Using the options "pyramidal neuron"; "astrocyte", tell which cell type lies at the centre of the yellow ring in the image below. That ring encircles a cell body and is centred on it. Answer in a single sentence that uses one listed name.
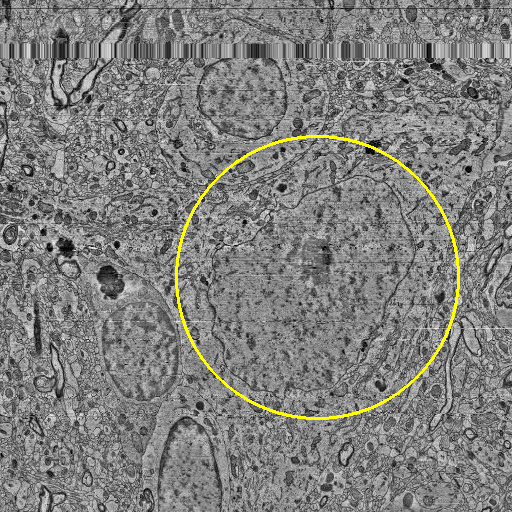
At the centre of the yellow ring lies the body of a pyramidal neuron.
